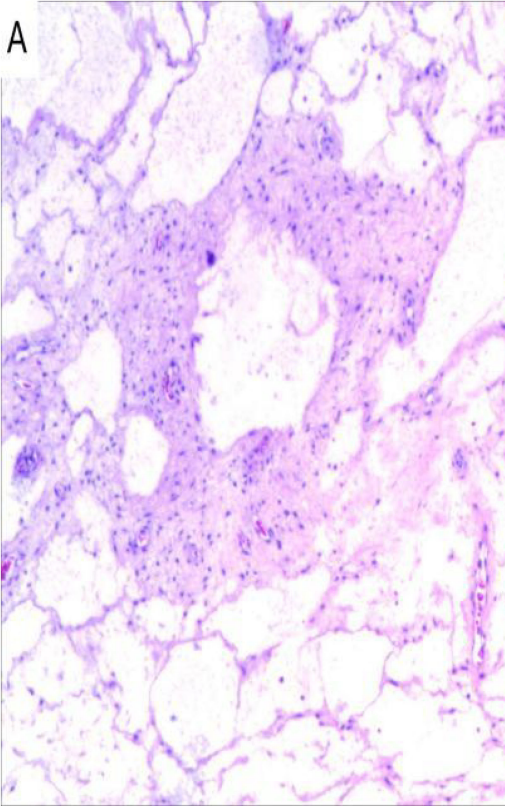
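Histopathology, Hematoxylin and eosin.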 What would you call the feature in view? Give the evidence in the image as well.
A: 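Dilatated lymphatic vessels. Many large, irregular, mostly empty spaces fill the field. The spaces are bounded by thin walls lined by flat cells. Some spaces hold pale pink, finely granular material.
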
